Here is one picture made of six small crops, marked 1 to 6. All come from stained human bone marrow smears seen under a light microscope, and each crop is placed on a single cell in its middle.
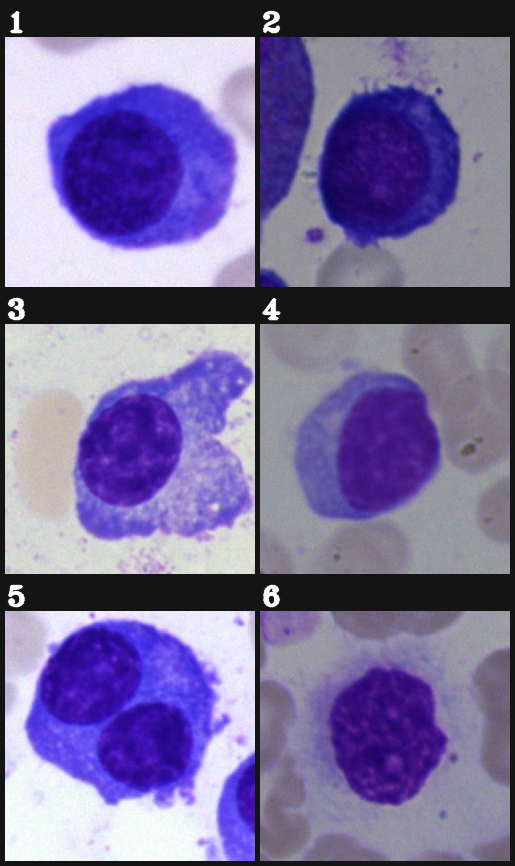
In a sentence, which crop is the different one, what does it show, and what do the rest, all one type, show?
All of the other crops show plasma cells, while crop 6 shows a hairy cell instead.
